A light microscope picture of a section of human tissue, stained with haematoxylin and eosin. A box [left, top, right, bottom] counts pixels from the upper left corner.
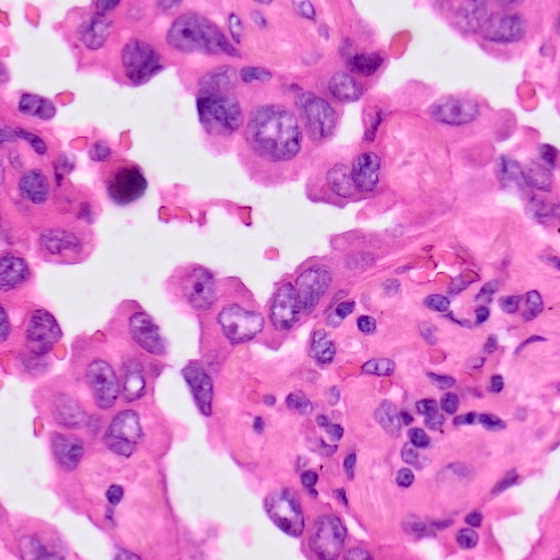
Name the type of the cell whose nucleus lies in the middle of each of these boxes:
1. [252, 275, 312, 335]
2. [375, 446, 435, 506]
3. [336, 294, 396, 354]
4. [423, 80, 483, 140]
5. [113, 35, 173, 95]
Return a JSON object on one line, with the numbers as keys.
{"1": "carcinoma cell", "2": "lymphocyte", "3": "lymphocyte", "4": "carcinoma cell", "5": "carcinoma cell"}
